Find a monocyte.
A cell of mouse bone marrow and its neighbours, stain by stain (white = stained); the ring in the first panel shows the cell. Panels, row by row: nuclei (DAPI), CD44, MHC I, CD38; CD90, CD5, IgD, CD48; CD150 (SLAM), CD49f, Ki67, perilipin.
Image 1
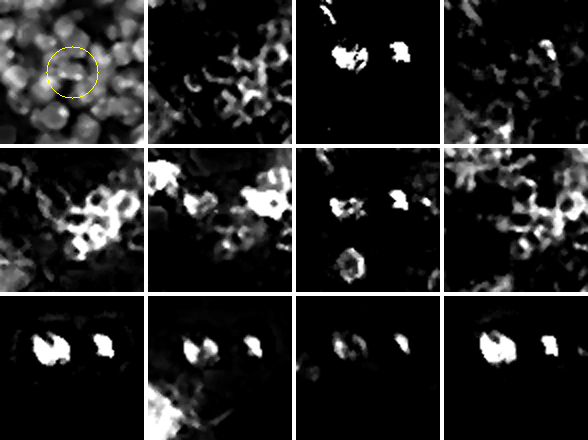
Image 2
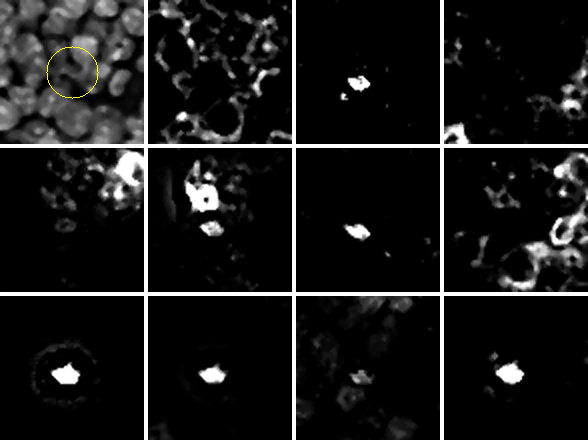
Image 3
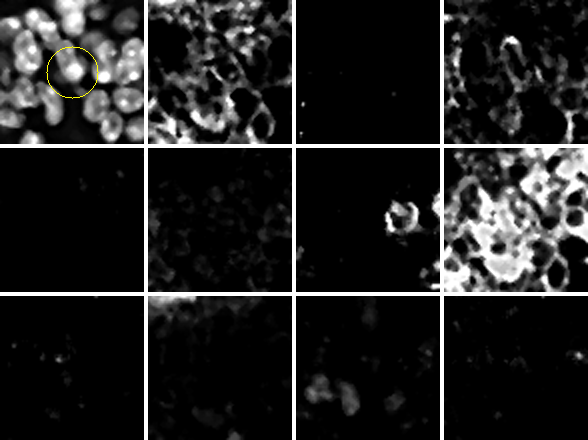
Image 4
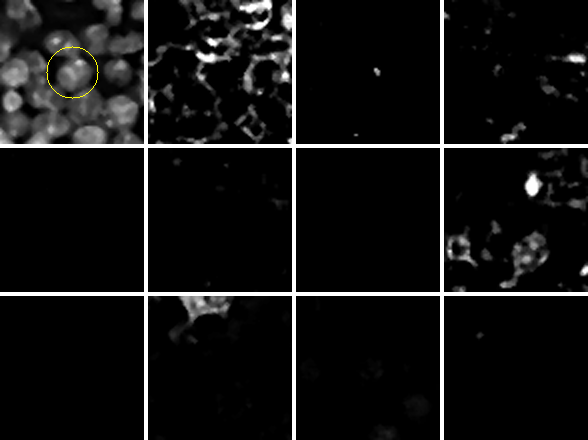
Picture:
3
